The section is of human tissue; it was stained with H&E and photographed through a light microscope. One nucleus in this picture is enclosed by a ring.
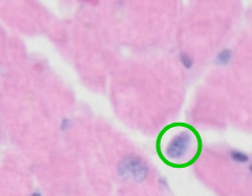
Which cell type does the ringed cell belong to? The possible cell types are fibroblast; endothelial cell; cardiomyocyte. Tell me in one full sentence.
The expected answer is simply that the ringed cell is a fibroblast.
